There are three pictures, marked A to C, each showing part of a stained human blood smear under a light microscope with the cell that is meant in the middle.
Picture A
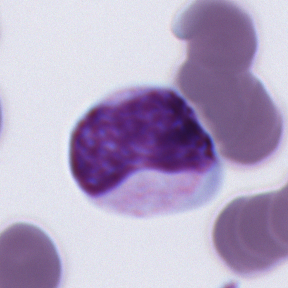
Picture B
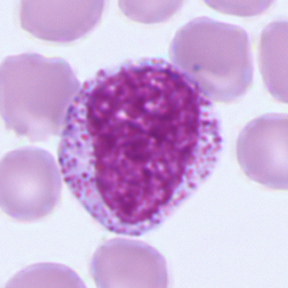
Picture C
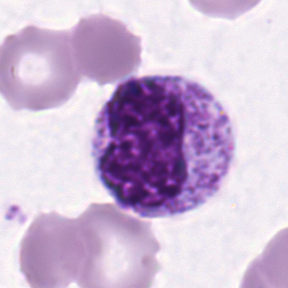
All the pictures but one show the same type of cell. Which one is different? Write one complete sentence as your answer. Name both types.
All pictures except A show metamyelocytes; picture A shows a band neutrophil.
